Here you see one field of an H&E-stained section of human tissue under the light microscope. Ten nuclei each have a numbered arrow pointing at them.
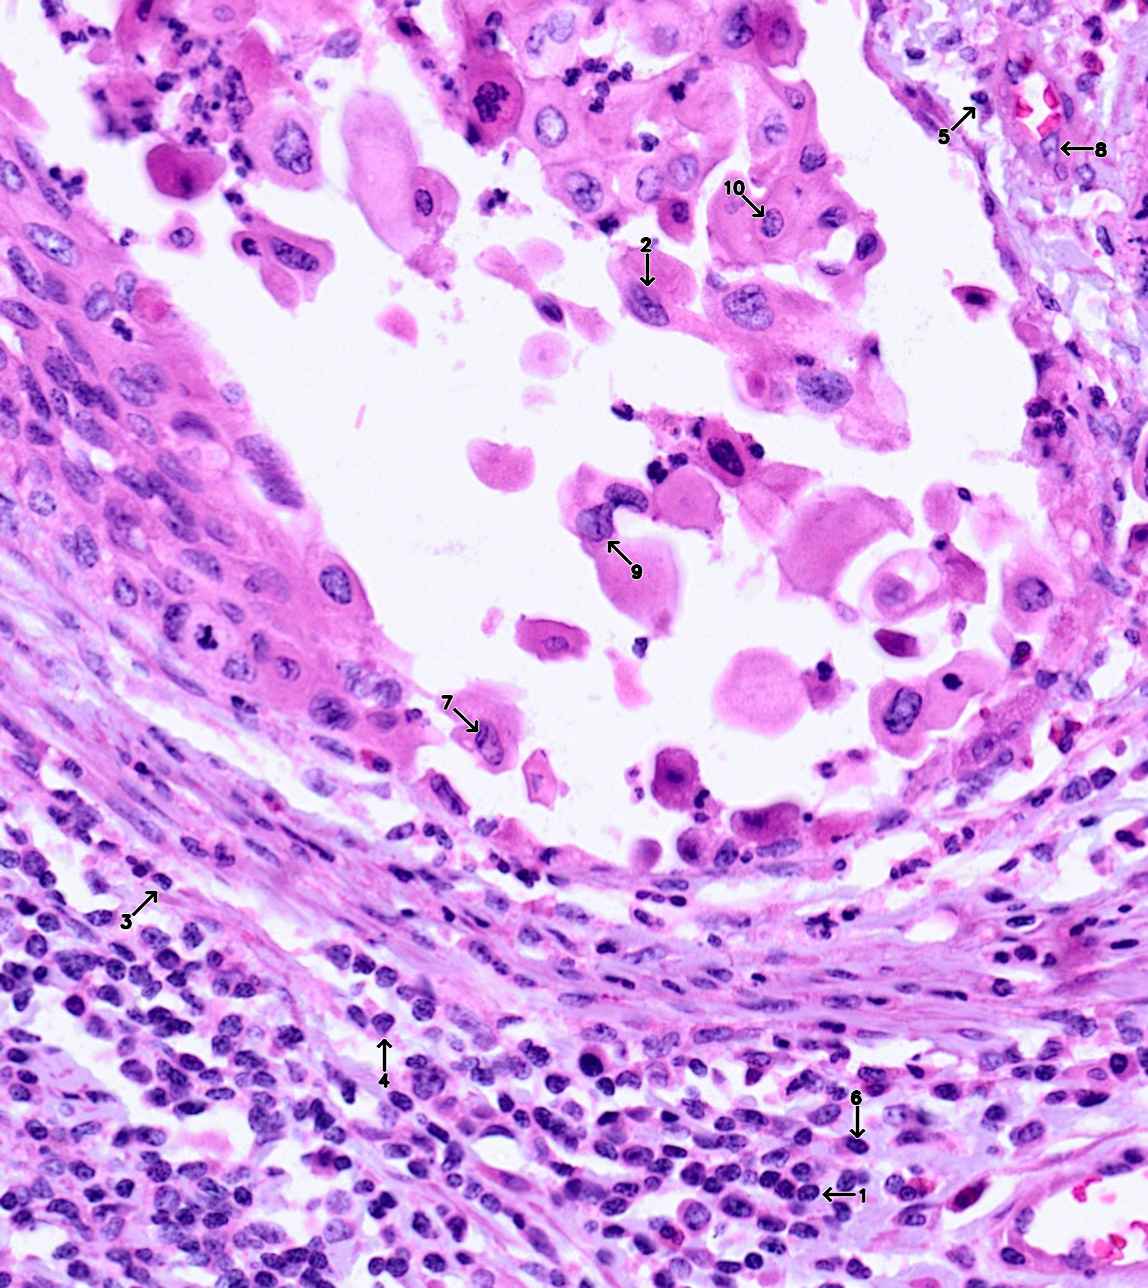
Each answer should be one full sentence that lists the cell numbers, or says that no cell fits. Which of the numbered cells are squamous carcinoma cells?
Classified as squamous carcinoma cells are the cells numbered 2, 7, 9 and 10.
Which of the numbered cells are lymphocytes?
Within this tissue, the cells numbered 1, 3, 4, 5 and 6 are lymphocytes.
